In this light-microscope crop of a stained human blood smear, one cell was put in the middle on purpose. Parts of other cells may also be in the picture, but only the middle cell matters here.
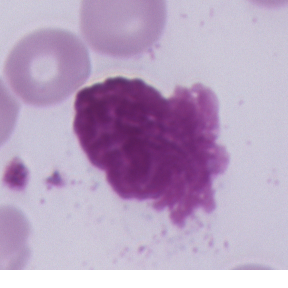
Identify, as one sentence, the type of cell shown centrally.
Present in the middle of the crop is a smudge cell.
